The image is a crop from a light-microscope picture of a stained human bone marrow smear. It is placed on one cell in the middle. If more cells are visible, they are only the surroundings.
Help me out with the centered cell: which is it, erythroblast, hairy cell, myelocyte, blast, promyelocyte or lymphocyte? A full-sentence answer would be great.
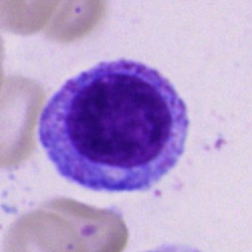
For this crop, the cell in the middle is a promyelocyte.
